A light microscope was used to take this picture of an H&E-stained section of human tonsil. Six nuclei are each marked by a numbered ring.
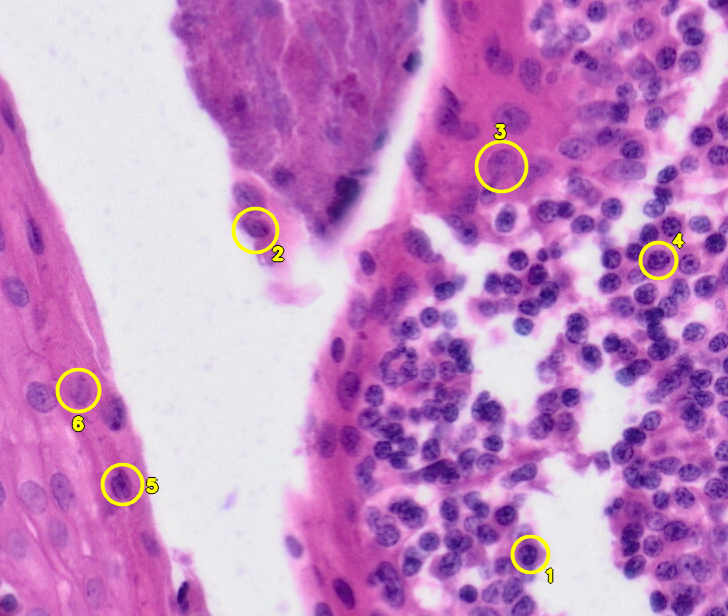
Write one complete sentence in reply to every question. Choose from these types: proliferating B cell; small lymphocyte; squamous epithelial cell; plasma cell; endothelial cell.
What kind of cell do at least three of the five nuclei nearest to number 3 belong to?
Squamous epithelial cells account for more than half of the five nuclei nearest to number 3.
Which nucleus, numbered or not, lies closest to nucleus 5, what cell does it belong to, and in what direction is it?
The nearest nucleus is that of a squamous epithelial cell and lies below and to the left of nucleus 5.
